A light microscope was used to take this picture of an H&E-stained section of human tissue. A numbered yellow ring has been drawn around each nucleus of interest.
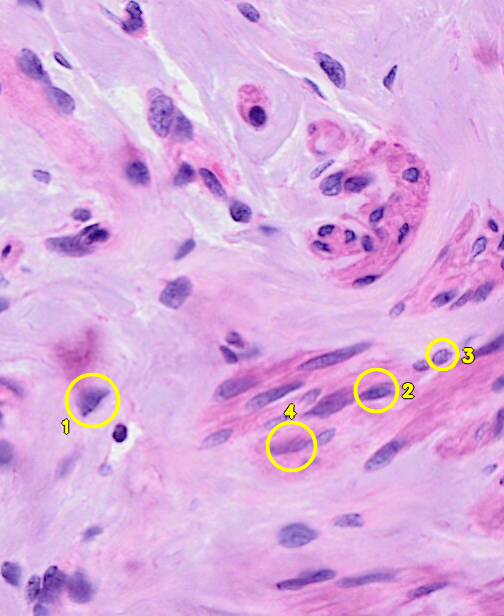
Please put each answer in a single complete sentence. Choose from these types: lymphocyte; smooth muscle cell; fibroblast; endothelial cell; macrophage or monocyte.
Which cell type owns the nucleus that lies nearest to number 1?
Number 1 lies closest to the nucleus of a lymphocyte.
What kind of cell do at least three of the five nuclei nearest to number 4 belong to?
The majority of the five nuclei closest to number 4 belong to smooth muscle cells.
